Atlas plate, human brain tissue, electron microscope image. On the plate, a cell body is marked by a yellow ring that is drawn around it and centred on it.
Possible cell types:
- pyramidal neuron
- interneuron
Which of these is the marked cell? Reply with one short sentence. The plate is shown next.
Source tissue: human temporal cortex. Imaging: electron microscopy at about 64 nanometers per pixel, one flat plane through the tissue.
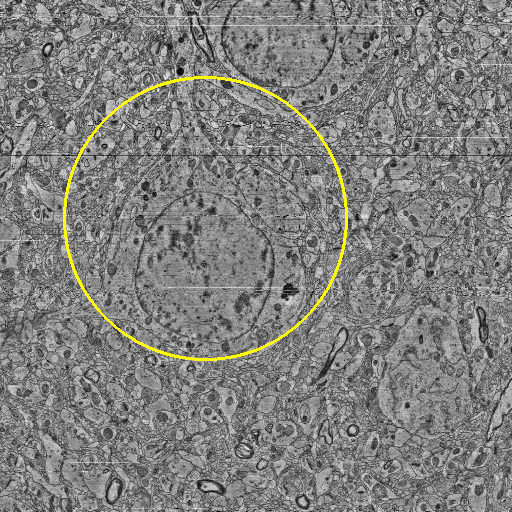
The marked cell is a pyramidal neuron.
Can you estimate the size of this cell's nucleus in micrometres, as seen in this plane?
About 11 by 9 micrometers, in this plane.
